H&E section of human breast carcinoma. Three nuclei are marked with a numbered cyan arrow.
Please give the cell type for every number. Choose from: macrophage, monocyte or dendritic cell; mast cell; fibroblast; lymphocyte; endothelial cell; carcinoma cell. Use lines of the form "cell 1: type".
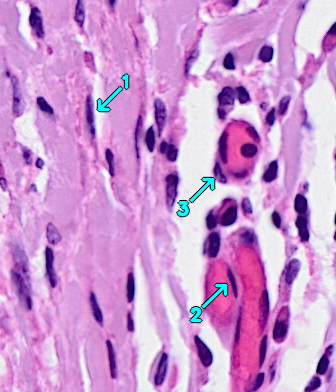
cell 1: fibroblast
cell 2: endothelial cell
cell 3: endothelial cell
